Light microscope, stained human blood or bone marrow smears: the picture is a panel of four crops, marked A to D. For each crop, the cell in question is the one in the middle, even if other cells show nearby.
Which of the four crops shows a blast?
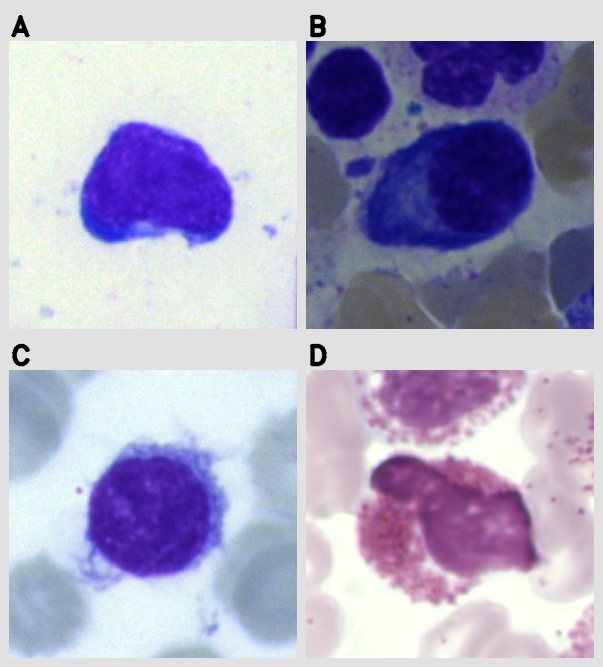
A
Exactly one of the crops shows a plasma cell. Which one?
B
